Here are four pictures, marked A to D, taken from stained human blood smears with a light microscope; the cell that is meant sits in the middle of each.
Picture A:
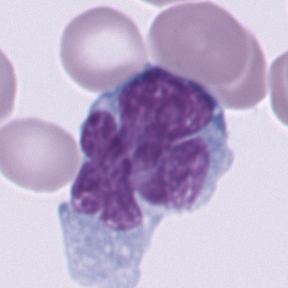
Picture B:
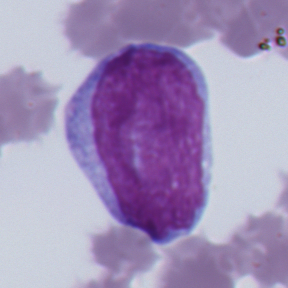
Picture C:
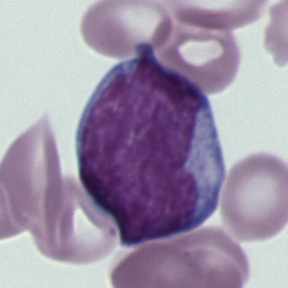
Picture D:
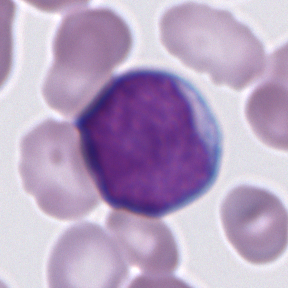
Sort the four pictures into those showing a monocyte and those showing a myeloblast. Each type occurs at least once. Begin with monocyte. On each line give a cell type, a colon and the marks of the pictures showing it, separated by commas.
monocyte: A
myeloblast: B, C, D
